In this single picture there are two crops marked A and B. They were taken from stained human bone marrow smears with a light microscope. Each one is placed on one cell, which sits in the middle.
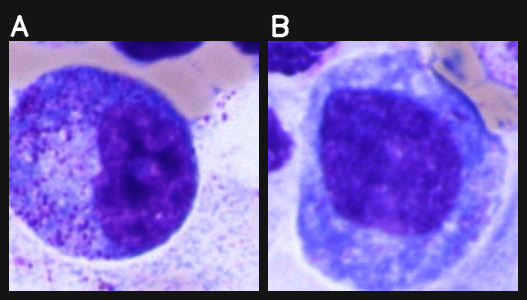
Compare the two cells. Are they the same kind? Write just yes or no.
yes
